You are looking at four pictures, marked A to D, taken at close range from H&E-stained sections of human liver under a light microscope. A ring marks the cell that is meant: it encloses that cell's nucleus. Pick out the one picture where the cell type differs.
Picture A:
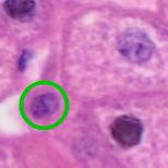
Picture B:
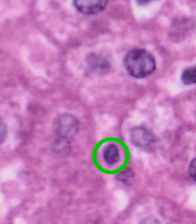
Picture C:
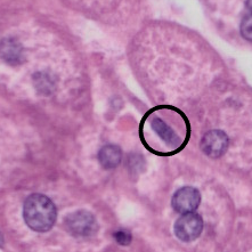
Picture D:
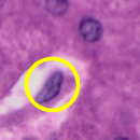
B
